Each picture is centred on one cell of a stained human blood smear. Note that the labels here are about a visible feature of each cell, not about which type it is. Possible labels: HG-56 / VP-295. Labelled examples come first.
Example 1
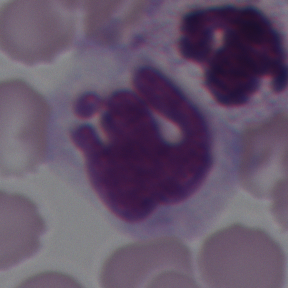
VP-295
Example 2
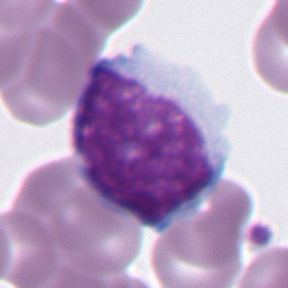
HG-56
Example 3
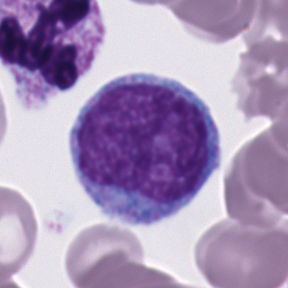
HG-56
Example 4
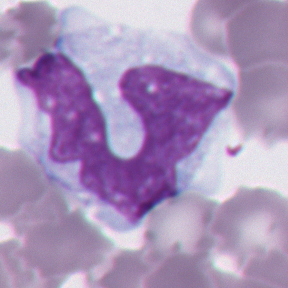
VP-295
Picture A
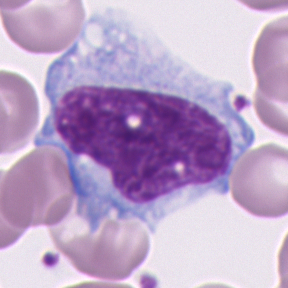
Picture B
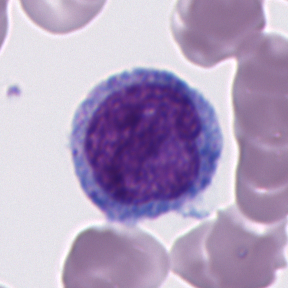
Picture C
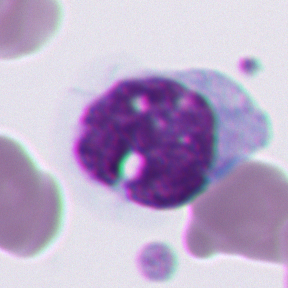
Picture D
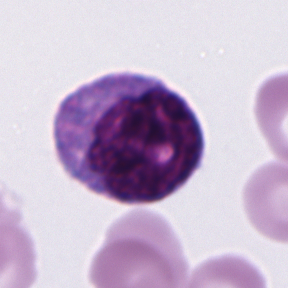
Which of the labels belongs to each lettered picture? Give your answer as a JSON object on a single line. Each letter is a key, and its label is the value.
{"A": "HG-56", "B": "HG-56", "C": "HG-56", "D": "HG-56"}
